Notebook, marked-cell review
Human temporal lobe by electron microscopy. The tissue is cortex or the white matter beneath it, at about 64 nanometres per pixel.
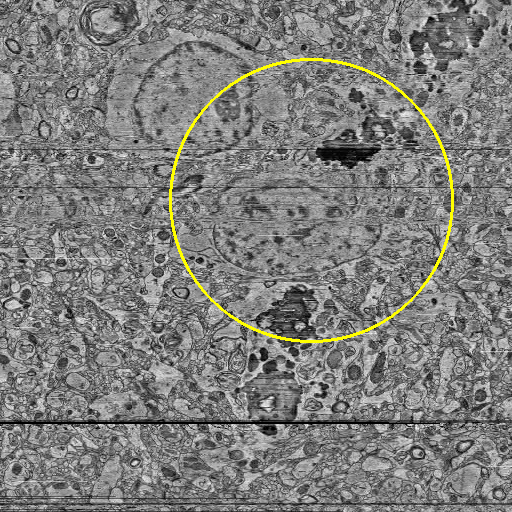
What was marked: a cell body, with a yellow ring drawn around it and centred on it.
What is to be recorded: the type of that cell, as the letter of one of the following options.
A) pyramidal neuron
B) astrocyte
B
